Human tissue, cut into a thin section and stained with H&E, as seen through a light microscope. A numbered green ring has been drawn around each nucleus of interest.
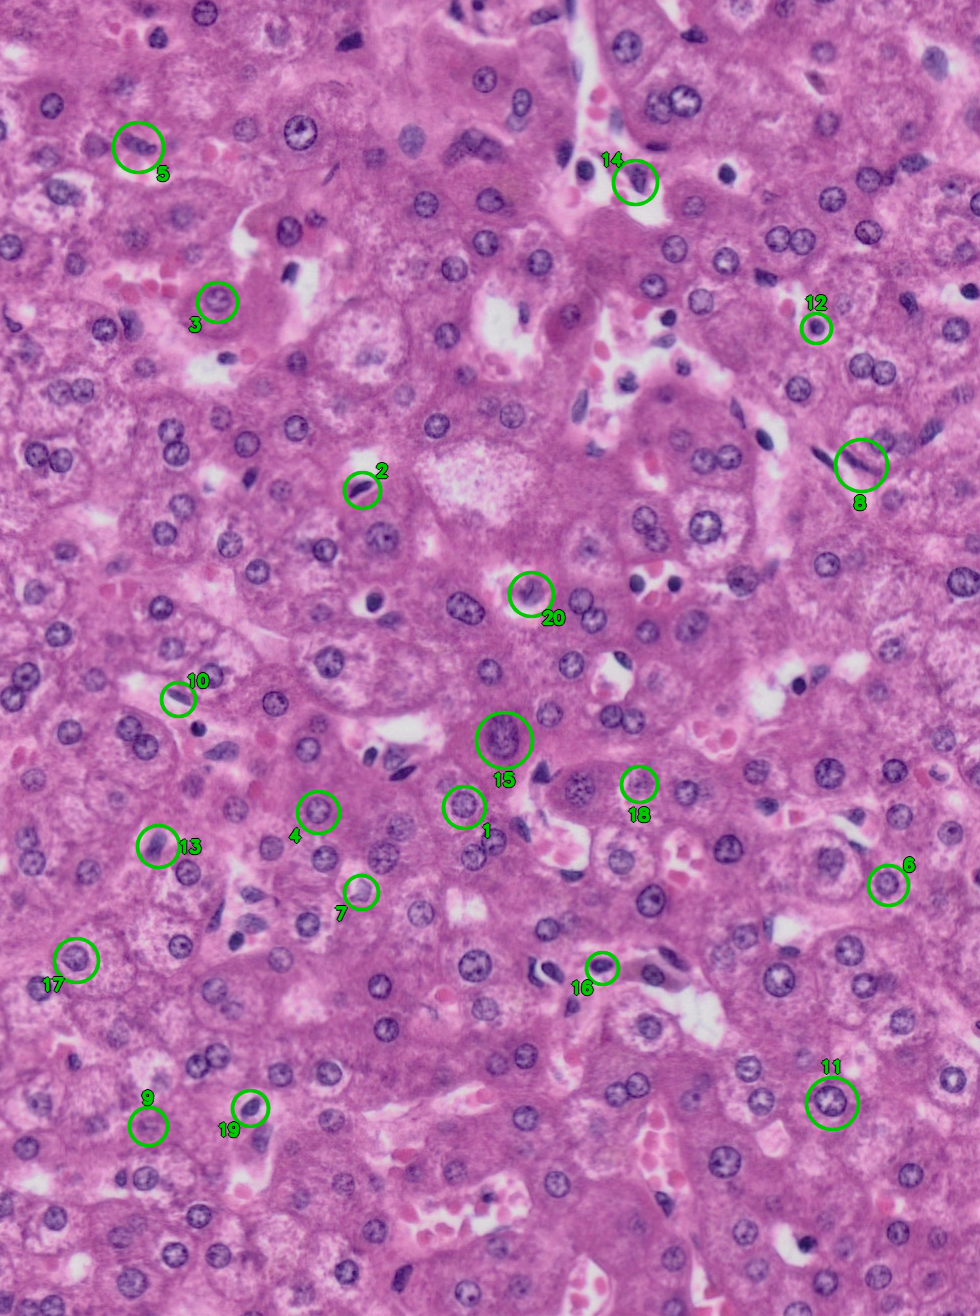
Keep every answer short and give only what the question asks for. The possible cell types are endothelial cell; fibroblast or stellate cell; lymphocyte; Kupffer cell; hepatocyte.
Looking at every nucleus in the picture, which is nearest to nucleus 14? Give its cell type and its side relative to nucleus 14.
a fibroblast or stellate cell above and to the right of nucleus 14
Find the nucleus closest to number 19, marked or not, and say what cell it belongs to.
Kupffer cell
